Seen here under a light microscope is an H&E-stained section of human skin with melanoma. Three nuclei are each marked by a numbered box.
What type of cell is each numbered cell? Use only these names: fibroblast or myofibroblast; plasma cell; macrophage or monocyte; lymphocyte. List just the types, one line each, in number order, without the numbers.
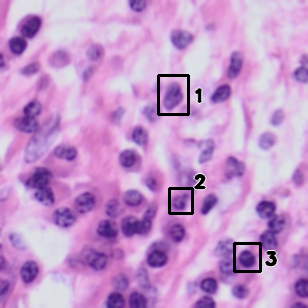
lymphocyte
plasma cell
plasma cell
